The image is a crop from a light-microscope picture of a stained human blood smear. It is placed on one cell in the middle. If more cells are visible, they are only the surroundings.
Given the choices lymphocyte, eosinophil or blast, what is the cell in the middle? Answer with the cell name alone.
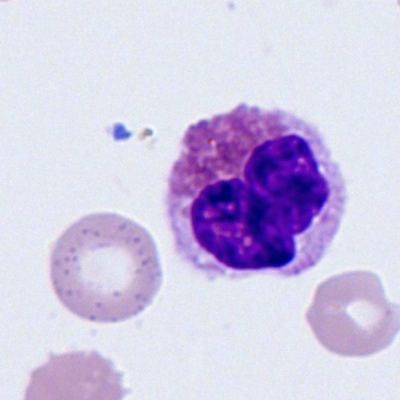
eosinophil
